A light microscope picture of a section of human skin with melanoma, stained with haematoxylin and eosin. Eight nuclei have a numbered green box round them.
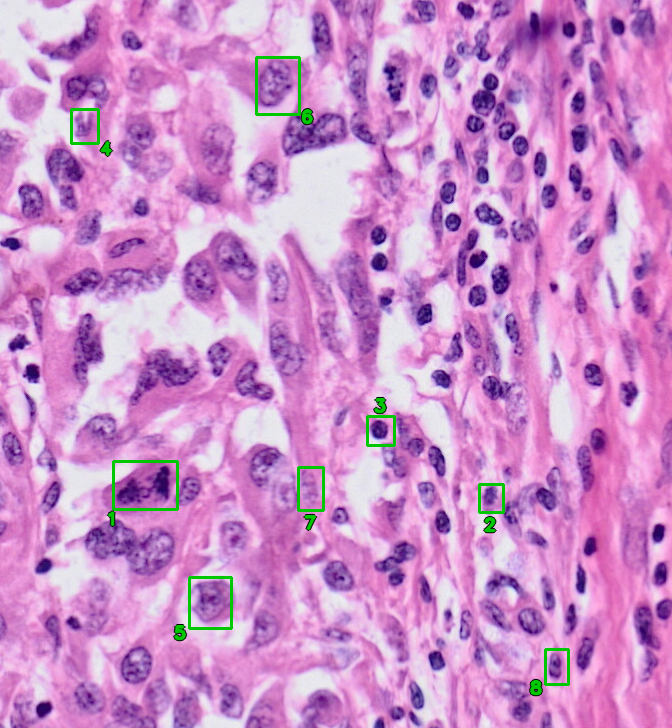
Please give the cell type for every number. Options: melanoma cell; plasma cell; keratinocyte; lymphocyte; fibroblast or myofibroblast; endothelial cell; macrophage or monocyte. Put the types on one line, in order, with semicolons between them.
melanoma cell; plasma cell; lymphocyte; melanoma cell; melanoma cell; melanoma cell; melanoma cell; lymphocyte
